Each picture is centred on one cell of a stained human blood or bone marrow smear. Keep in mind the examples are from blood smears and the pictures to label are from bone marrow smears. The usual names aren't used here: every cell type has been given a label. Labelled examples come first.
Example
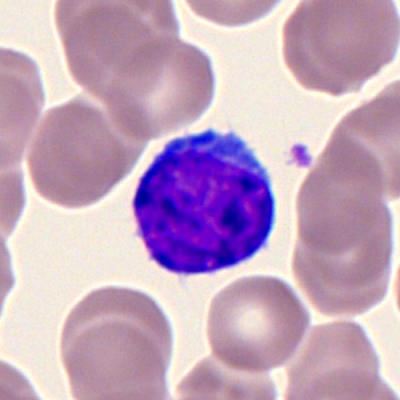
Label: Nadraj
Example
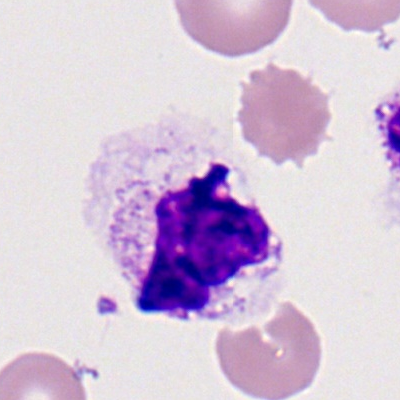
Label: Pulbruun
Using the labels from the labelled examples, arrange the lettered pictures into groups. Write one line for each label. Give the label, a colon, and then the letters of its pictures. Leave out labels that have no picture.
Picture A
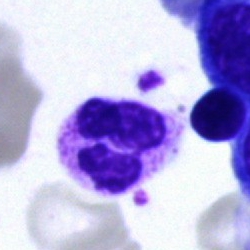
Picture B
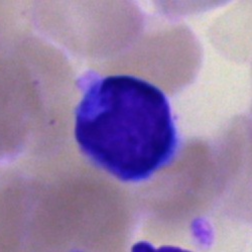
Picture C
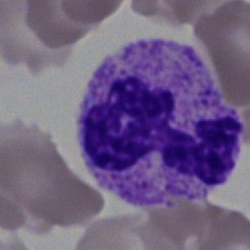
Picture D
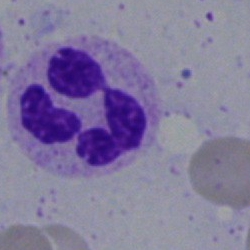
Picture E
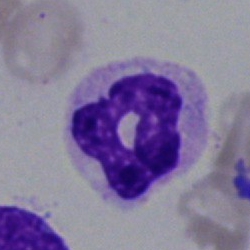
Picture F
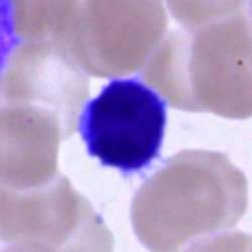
Nadraj: B, F
Pulbruun: A, C, D, E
